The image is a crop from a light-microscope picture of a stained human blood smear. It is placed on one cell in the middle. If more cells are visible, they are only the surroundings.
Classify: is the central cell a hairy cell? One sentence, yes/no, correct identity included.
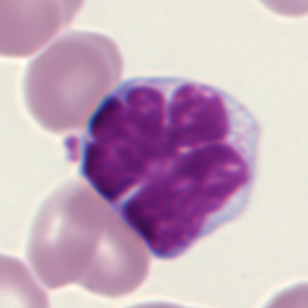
No, it is not a hairy cell that lies in the middle but a large granular lymphocyte.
